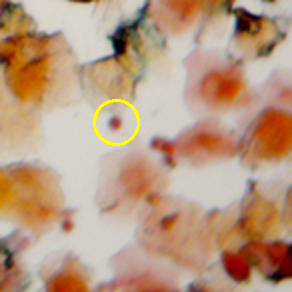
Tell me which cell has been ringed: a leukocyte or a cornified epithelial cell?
It is a leukocyte.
